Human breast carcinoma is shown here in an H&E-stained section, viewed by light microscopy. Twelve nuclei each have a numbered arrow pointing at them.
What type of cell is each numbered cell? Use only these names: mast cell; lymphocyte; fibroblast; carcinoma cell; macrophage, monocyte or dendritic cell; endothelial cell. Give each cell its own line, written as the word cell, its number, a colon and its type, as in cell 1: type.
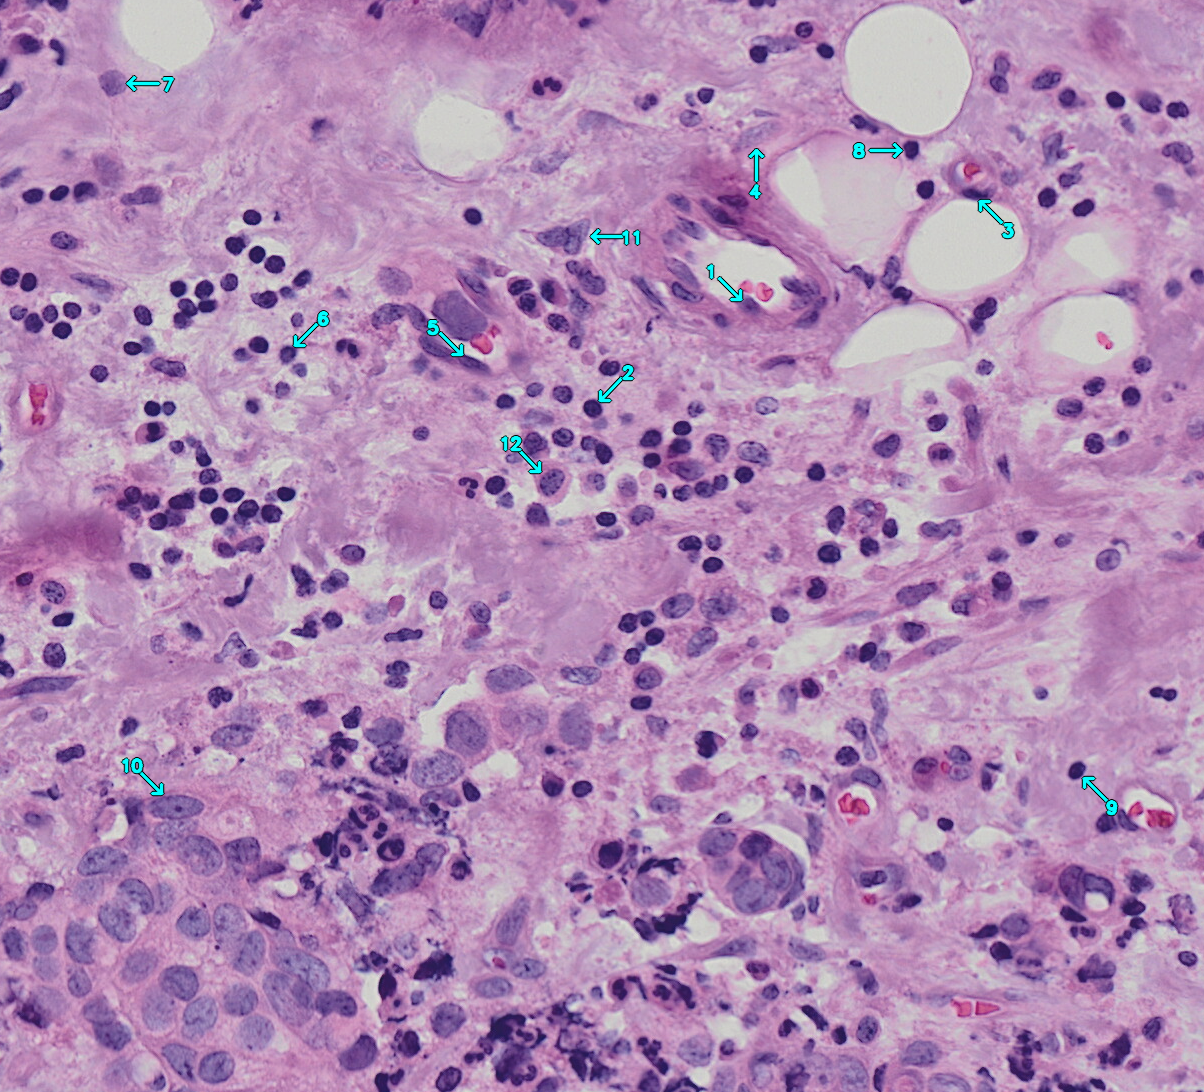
cell 1: endothelial cell
cell 2: lymphocyte
cell 3: endothelial cell
cell 4: fibroblast
cell 5: endothelial cell
cell 6: lymphocyte
cell 7: fibroblast
cell 8: lymphocyte
cell 9: lymphocyte
cell 10: carcinoma cell
cell 11: fibroblast
cell 12: mast cell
